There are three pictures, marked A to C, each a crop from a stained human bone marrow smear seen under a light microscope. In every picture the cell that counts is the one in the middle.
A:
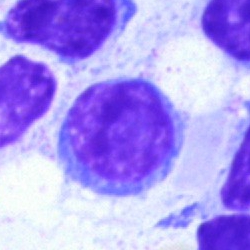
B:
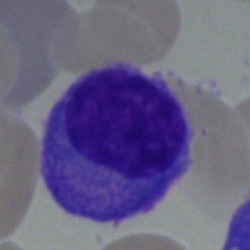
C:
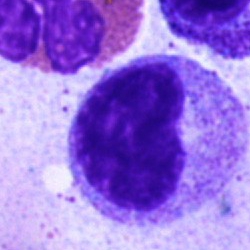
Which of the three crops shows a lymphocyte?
A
